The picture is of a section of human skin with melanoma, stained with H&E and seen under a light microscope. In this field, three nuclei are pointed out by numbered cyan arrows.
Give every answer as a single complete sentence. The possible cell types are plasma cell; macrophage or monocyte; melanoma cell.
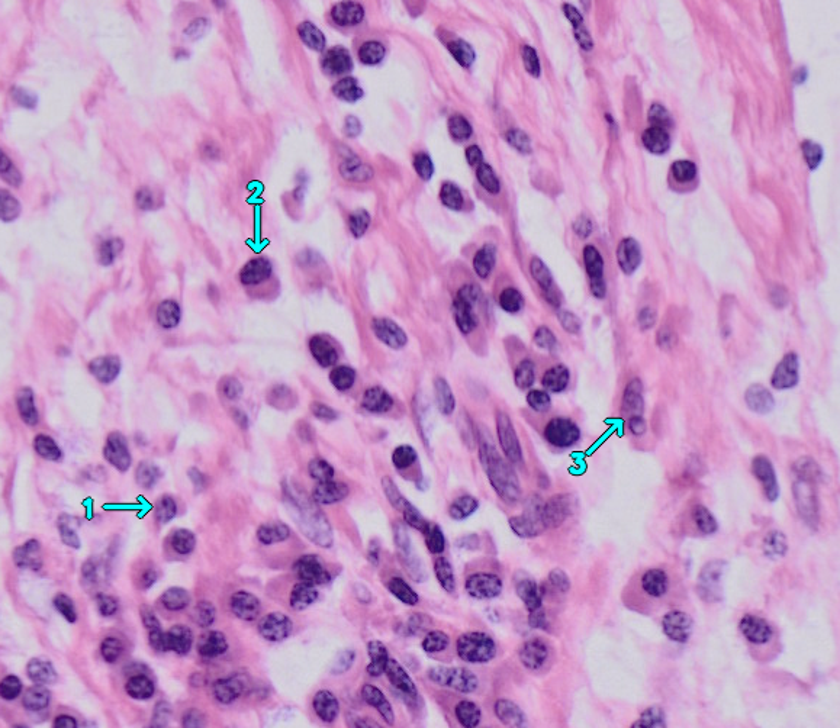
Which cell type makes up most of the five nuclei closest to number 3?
Most of the five nuclei nearest to number 3 are those of plasma cells.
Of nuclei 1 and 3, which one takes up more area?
It is nucleus 3, which covers about 1.5 times the area of nucleus 1.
